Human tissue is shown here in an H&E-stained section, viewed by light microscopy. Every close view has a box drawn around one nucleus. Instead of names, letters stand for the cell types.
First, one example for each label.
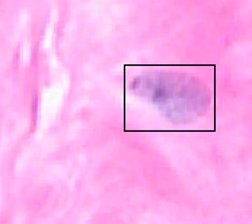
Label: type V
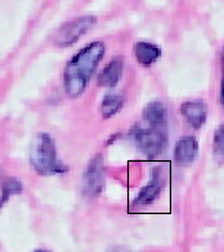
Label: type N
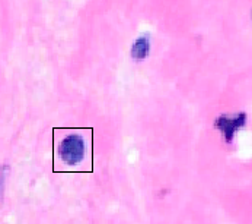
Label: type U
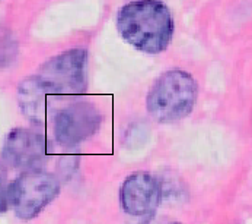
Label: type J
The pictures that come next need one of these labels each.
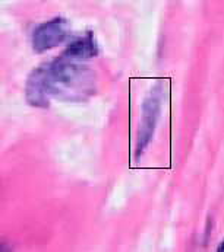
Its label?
type V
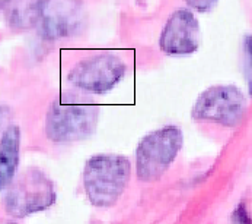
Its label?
type J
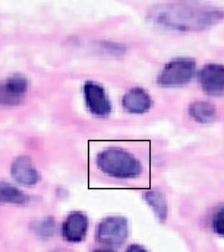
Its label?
type U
